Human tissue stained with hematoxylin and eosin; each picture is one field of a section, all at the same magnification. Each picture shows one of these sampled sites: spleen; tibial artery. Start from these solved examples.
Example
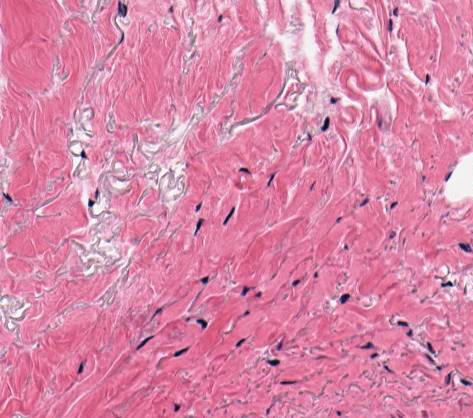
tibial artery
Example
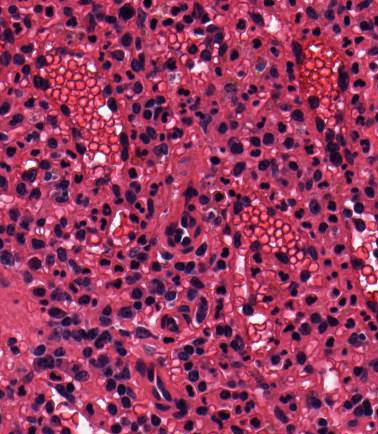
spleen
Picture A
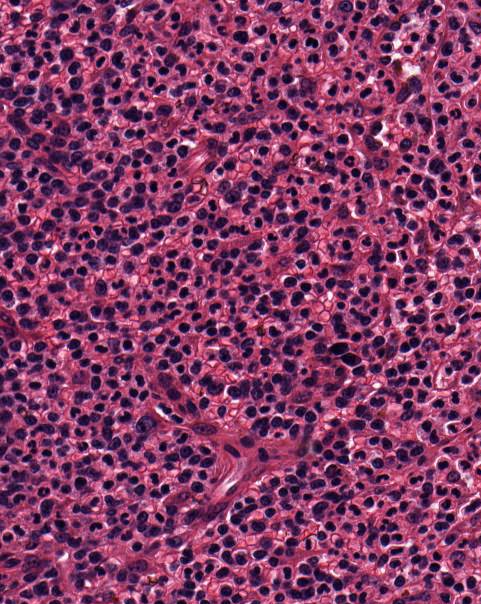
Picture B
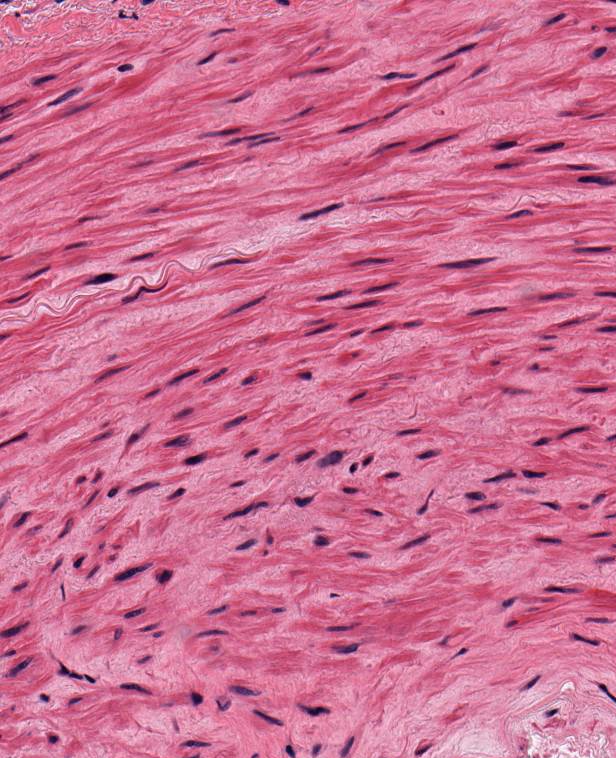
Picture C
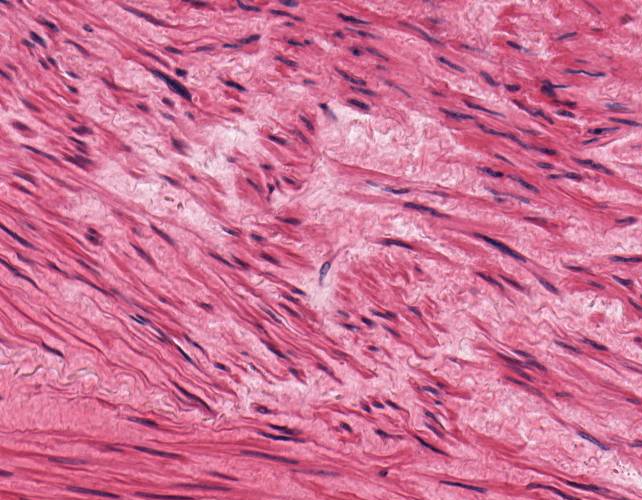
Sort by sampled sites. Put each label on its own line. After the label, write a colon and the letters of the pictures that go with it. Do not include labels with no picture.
spleen: A
tibial artery: B, C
